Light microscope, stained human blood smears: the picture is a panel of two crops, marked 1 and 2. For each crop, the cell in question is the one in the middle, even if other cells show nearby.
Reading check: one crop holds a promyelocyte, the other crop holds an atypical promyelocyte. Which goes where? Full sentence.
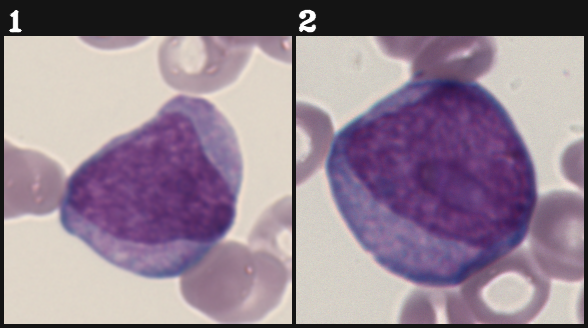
Crop 1 depicts an atypical promyelocyte, and crop 2 depicts a promyelocyte.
